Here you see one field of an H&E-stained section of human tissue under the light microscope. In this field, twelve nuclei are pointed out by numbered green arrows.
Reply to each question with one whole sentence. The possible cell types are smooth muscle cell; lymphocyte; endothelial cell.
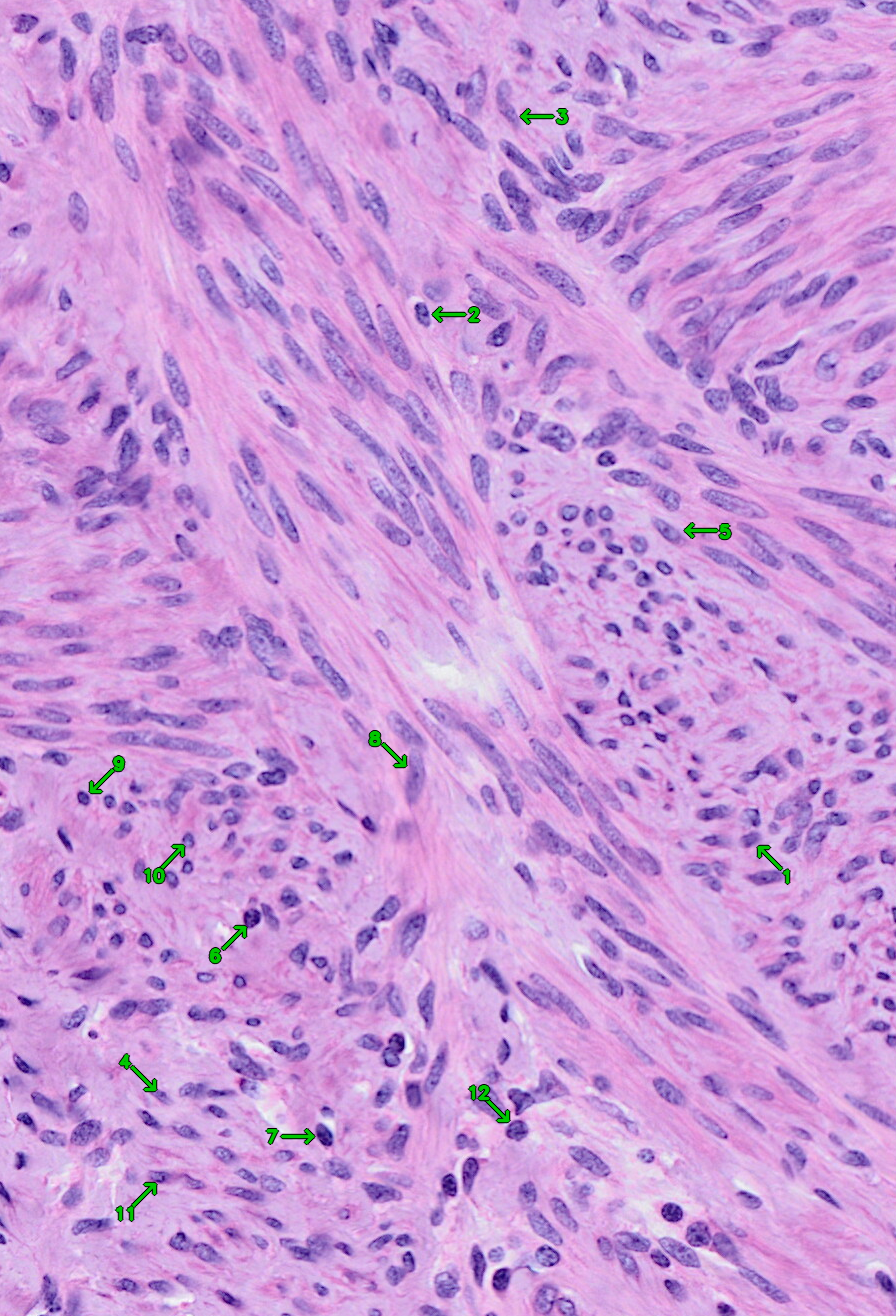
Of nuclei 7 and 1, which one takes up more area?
The larger nucleus is 7, at roughly 1.5 times the area of 1.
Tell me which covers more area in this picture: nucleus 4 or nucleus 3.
Nucleus 3 is larger, with an area about 1.5 times that of nucleus 4.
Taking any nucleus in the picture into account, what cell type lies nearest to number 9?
The nucleus nearest to number 9 is that of a smooth muscle cell.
